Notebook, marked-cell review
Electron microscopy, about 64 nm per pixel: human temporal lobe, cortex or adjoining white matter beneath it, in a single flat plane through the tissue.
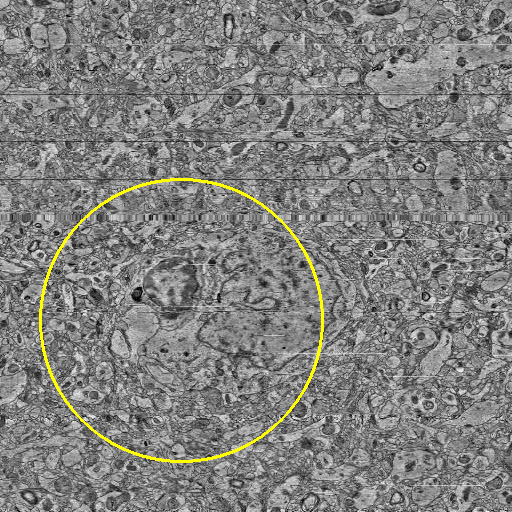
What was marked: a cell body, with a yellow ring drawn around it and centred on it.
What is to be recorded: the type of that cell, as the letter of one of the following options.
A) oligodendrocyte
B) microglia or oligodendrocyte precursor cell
B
